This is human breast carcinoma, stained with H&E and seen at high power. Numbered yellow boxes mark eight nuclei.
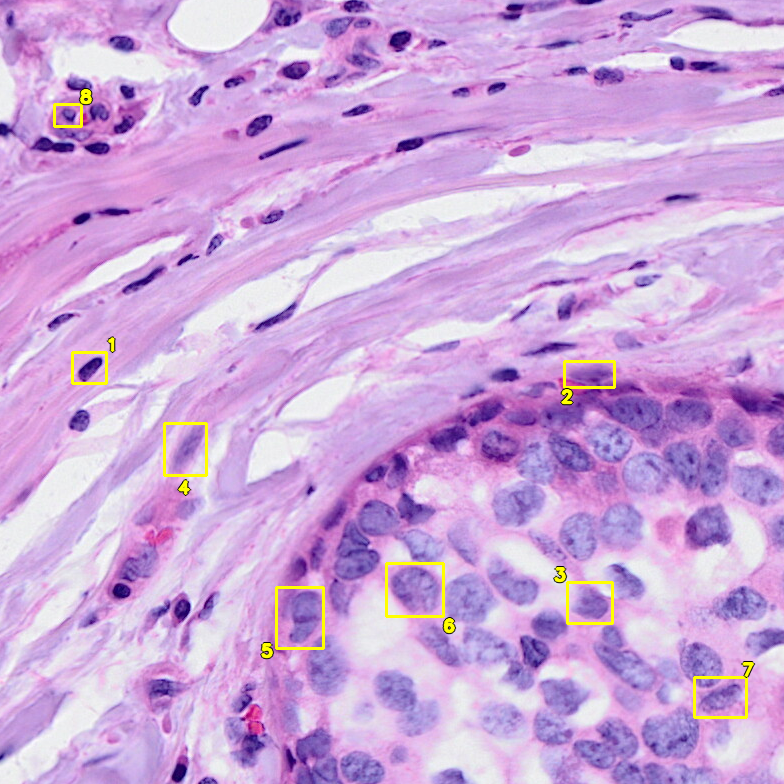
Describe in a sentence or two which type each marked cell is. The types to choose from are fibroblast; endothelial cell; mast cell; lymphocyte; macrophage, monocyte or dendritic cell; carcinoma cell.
Cell 1 is a lymphocyte, cell 2 is an endothelial cell, cell 3 is a carcinoma cell, cell 4 is a fibroblast, cell 5 is a carcinoma cell, cell 6 is a carcinoma cell, cell 7 is a carcinoma cell and cell 8 is an endothelial cell.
